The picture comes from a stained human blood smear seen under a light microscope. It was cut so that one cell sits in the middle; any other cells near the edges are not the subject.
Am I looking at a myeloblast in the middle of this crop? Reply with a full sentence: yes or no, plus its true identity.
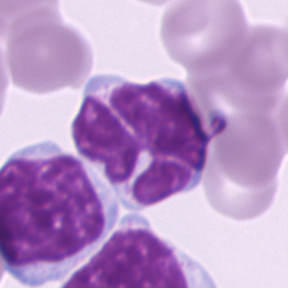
No, the central cell here is a large granular lymphocyte; calling it a myeloblast is not right.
